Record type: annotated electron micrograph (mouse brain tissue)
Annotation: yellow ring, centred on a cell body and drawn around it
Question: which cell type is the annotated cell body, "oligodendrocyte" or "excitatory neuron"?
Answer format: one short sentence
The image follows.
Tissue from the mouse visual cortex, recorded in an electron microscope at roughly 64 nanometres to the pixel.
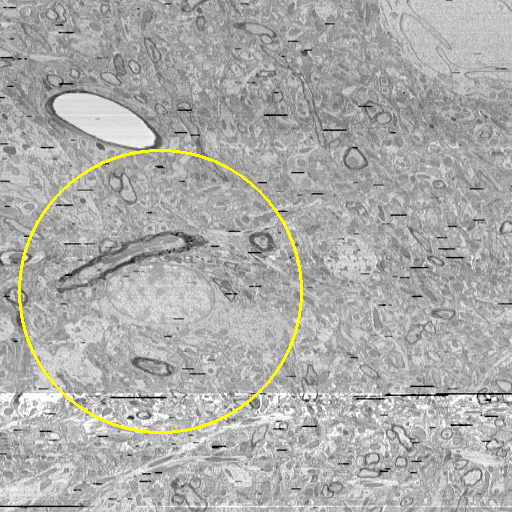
The annotated cell body is that of an oligodendrocyte.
